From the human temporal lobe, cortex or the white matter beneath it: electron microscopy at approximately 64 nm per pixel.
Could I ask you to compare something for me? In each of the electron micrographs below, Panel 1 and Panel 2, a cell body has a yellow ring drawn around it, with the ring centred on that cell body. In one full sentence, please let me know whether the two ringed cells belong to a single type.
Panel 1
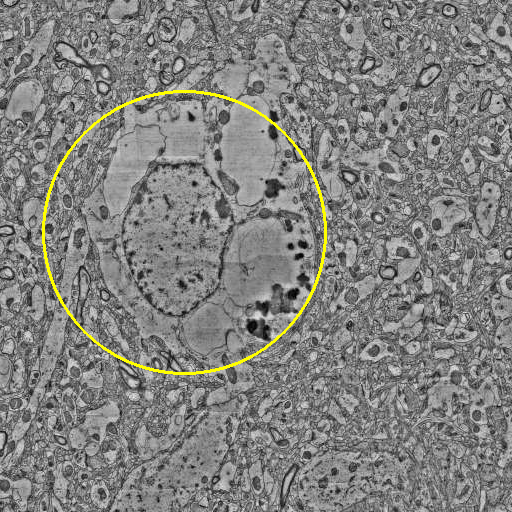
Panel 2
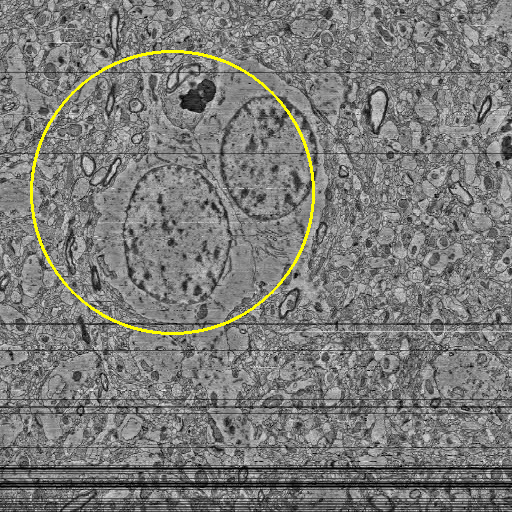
Yes, the two cells at the centres of the rings are of one type.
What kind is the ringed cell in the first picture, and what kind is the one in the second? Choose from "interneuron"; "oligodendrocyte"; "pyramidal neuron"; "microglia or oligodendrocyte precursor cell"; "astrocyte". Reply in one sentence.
The cell in the first picture is an astrocyte, and so is the one in the second.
